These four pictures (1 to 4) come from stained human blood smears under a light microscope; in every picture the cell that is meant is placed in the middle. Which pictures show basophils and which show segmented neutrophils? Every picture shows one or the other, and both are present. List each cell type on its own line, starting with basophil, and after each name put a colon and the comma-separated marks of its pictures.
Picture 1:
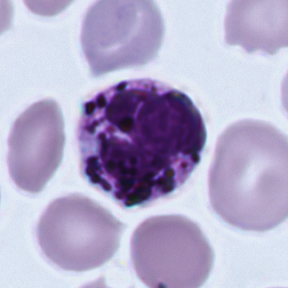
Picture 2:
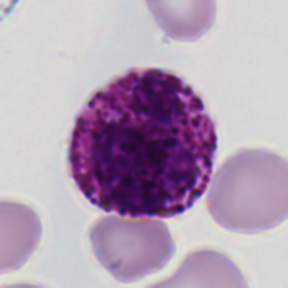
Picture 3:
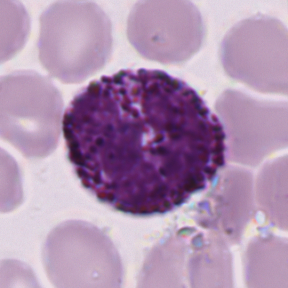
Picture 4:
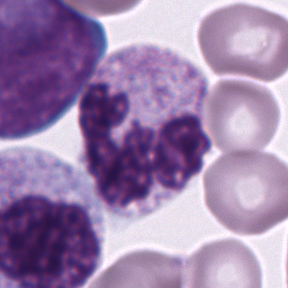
basophil: 1, 2, 3
segmented neutrophil: 4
